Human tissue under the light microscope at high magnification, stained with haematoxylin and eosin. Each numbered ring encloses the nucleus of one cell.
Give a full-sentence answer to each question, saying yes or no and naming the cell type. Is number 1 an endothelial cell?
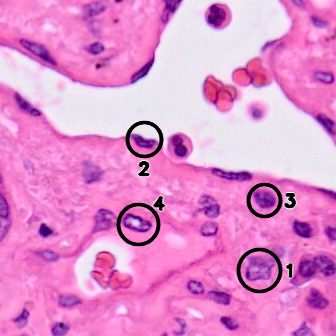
No, number 1 is not an endothelial cell but a fibroblast.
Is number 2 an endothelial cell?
Yes, the marked cell number 2 is an endothelial cell.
